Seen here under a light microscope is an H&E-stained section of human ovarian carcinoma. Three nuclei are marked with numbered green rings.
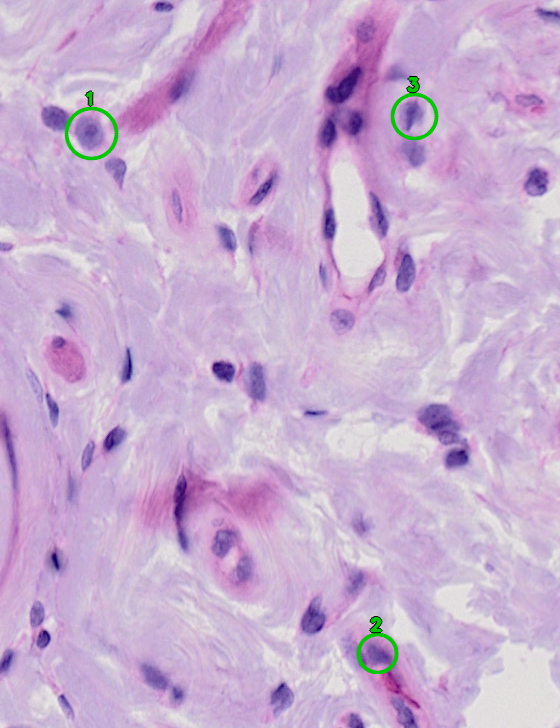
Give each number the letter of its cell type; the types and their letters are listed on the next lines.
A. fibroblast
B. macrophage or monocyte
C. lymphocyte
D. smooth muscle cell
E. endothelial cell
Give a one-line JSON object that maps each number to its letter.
{"1": "A", "2": "E", "3": "A"}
